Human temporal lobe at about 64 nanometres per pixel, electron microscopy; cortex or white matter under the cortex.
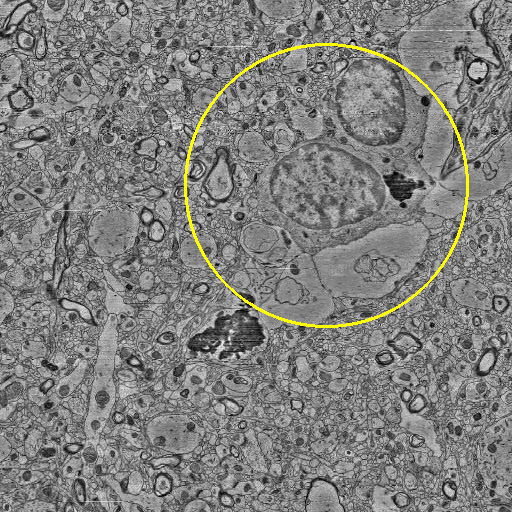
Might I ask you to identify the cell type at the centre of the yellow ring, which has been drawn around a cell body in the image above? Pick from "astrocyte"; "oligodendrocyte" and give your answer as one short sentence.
The centre of the ring falls on an oligodendrocyte.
